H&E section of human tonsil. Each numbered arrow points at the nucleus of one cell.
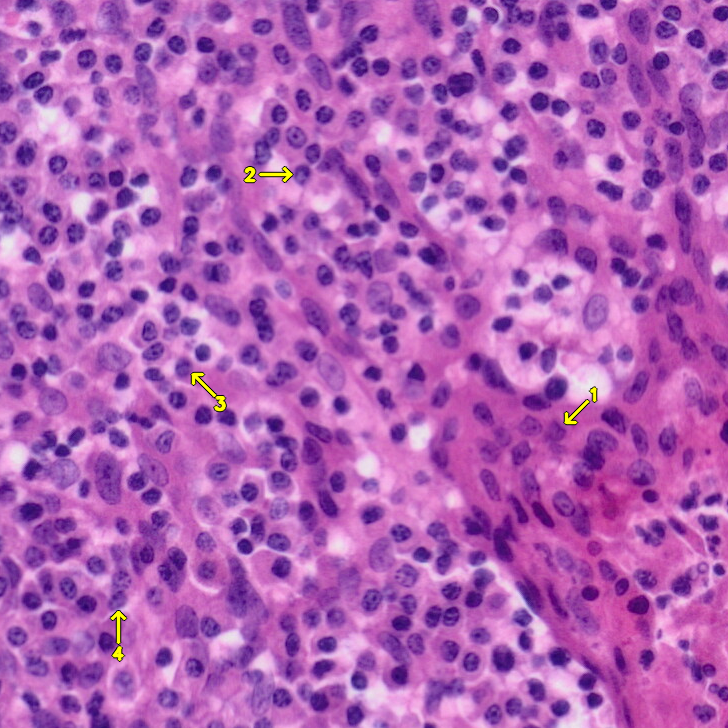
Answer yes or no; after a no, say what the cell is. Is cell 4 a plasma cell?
Yes.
